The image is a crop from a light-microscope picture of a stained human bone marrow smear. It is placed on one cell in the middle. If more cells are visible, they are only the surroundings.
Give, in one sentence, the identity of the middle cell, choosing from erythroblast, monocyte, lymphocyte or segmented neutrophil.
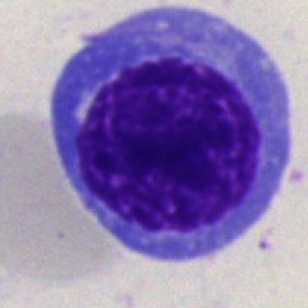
The middle position in this crop is taken by an erythroblast.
